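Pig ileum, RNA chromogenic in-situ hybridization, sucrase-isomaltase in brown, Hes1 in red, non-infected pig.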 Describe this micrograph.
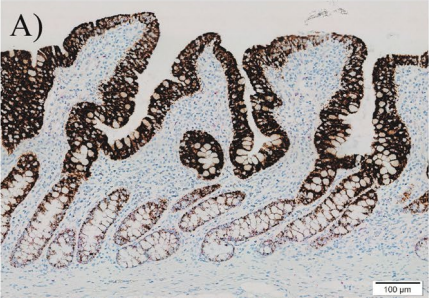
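The villi are lined by a single layer of columnar epithelium that is intensely stained brown, most densely along the mid and upper parts of the villi. Beneath, the crypts appear as rounded and elongated glandular profiles containing many clear goblet cells and are only lightly stained brown. The lamina propria between the villi and crypts is loose connective tissue with blue-stained nuclei. A band of smooth muscle with blue nuclei runs along the bottom of the field.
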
